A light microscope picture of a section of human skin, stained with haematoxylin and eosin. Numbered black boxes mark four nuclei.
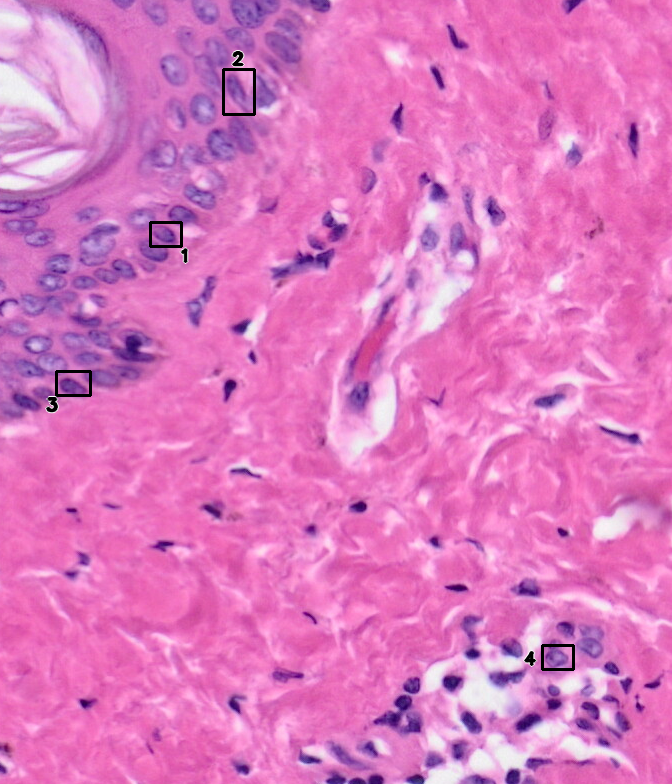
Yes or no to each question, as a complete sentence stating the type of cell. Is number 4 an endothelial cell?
Yes, kindly take note: the cell numbered 4 is an endothelial cell.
